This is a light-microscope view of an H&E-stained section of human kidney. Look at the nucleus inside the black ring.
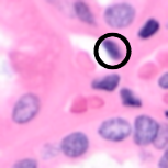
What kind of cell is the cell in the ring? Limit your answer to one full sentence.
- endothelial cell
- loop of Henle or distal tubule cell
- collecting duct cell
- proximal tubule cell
The identity of the cell in the ring: it is an endothelial cell.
